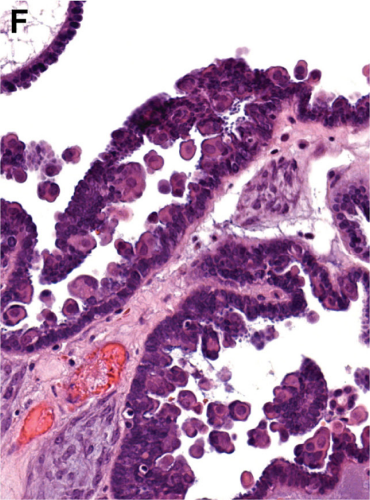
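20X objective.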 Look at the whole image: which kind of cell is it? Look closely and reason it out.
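Eosinophilic tumor cells. Rounded cells with abundant dense pink cytoplasm float free in the lumen. Similar pink cells are also present within the lining epithelium.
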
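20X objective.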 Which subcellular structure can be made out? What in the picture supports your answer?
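Detached cells have homogeneous deep pink cytoplasm filling much of the cell. Their nuclei are small relative to the cytoplasm.
Dense/glassy eosinophilic cytoplasm.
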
